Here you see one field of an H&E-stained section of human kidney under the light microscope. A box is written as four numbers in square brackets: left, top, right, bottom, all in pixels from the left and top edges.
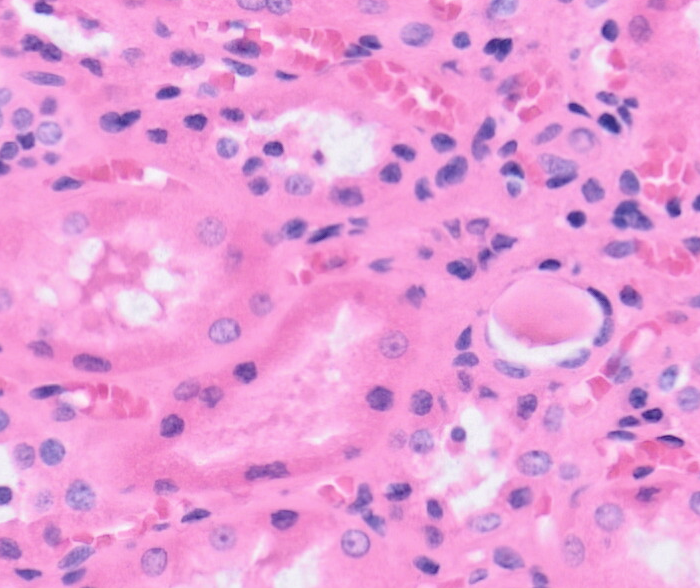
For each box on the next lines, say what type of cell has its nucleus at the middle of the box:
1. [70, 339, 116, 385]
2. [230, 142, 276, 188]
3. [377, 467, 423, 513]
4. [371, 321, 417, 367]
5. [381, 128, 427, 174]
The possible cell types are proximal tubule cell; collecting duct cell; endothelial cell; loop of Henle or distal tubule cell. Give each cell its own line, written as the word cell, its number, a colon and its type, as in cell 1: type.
cell 1: proximal tubule cell
cell 2: loop of Henle or distal tubule cell
cell 3: loop of Henle or distal tubule cell
cell 4: proximal tubule cell
cell 5: loop of Henle or distal tubule cell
